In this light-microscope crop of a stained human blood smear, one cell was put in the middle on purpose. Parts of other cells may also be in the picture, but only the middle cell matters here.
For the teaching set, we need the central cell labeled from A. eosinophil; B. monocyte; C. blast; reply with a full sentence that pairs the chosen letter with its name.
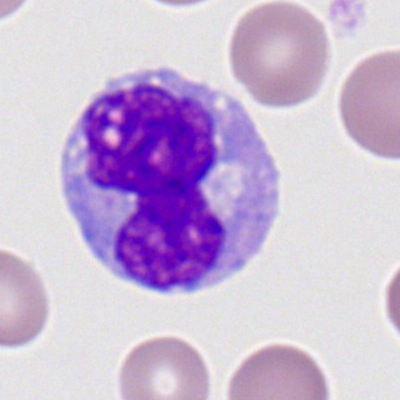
The cell in the middle is a monocyte, and that makes option B correct.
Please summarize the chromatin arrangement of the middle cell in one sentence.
What stands out is chromatin that is coarsely clumped.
